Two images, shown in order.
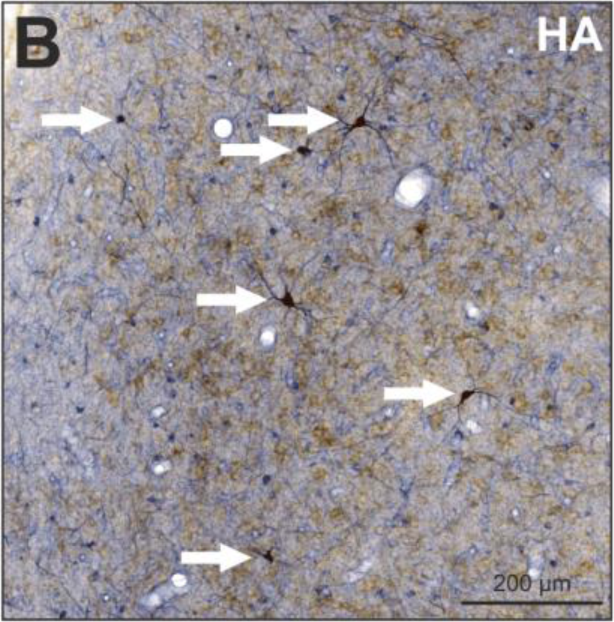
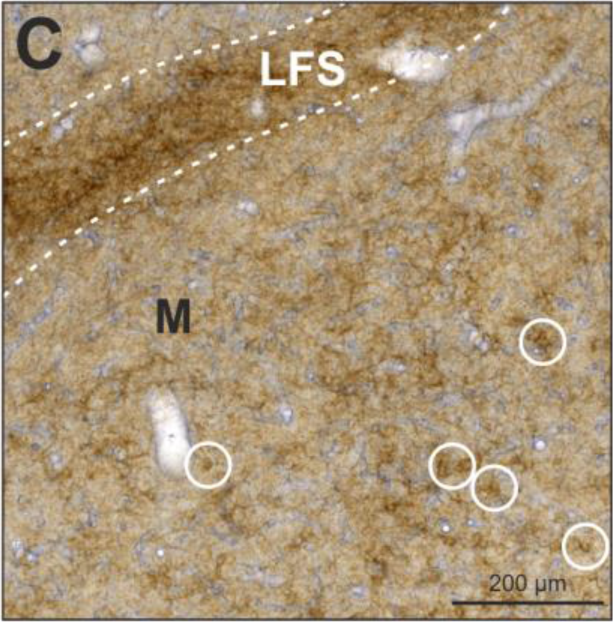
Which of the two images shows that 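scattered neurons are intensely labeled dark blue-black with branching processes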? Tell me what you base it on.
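Second image: no dark blue-black labeled cell bodies or processes, the tissue is mainly brown. On this evidence: the first image.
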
